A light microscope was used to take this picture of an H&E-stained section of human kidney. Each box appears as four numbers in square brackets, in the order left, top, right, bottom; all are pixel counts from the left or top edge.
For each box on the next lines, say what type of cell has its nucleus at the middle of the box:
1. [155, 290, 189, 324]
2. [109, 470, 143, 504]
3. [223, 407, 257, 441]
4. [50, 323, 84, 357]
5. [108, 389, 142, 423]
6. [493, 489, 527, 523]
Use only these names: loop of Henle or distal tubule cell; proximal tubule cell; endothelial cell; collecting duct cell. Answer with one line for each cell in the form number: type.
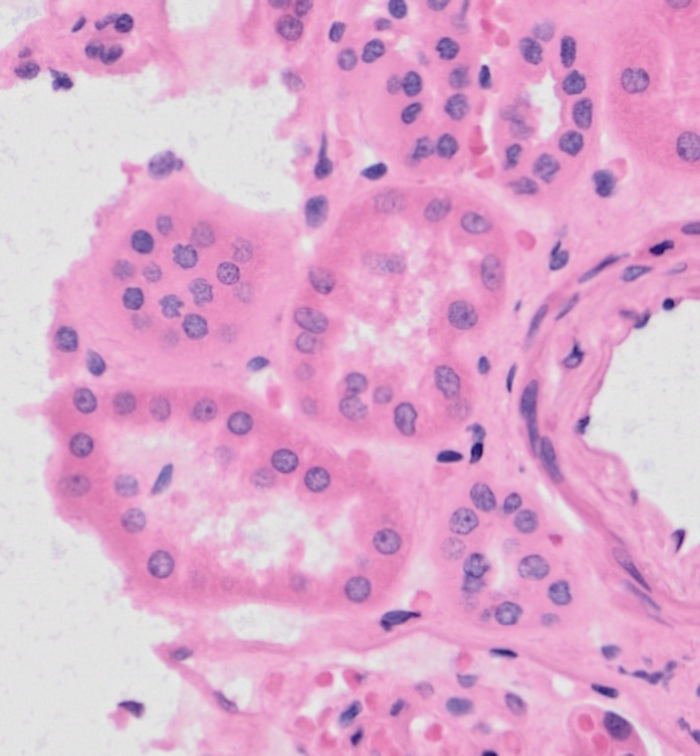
1: loop of Henle or distal tubule cell
2: proximal tubule cell
3: proximal tubule cell
4: loop of Henle or distal tubule cell
5: proximal tubule cell
6: collecting duct cell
